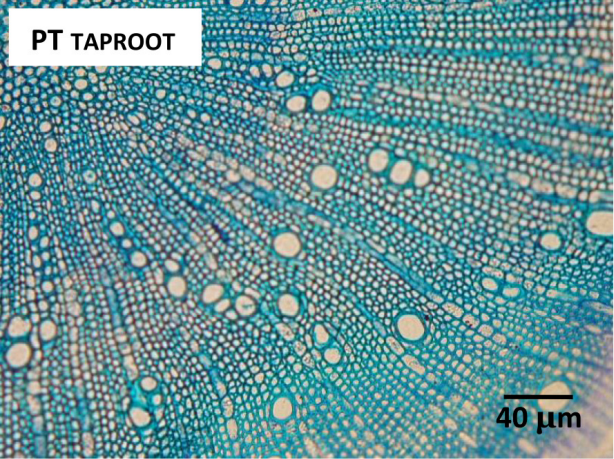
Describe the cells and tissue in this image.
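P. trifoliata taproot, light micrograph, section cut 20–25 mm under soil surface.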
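The ground mass is made of small, thick-walled cells with blue walls, lined up in radial files. Large round, open vessels lie among them, some singly and some in small clusters of two or three. Narrow rows of cells radiate across the field, dividing the wood into wedges.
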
